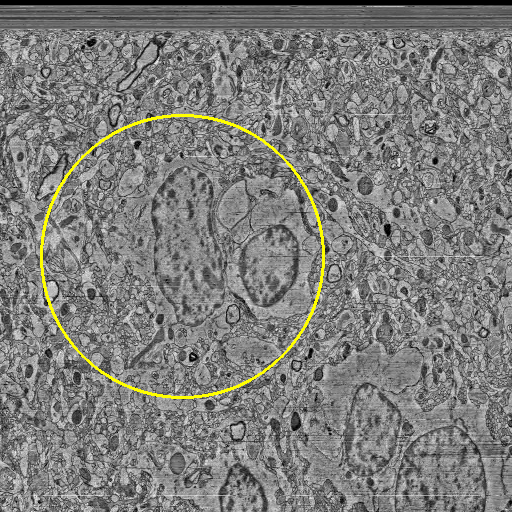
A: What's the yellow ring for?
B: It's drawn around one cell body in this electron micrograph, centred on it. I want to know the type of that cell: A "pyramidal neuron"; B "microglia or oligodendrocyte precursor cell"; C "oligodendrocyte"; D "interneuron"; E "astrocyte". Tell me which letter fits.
E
